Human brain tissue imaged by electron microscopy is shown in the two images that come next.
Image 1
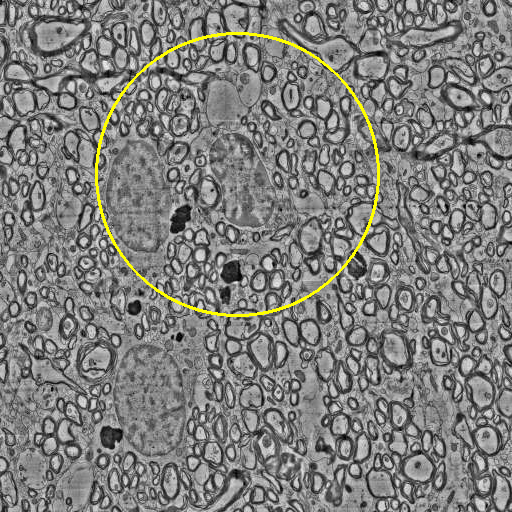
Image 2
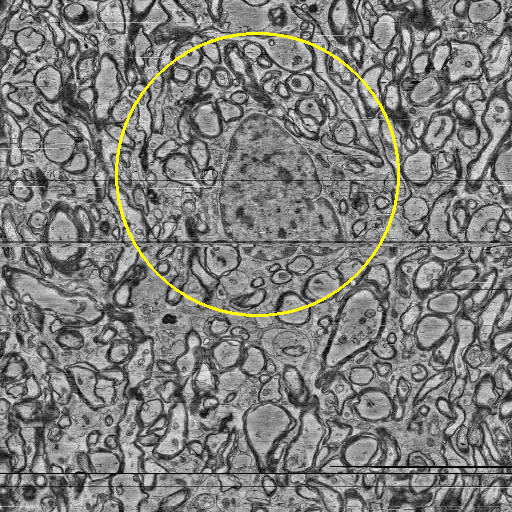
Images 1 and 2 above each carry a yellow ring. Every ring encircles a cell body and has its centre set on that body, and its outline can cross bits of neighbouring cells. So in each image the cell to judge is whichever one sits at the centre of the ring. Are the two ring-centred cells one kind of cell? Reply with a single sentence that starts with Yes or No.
Yes, in Image 1 and Image 2 the cells at the centres of their rings fall into one type.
